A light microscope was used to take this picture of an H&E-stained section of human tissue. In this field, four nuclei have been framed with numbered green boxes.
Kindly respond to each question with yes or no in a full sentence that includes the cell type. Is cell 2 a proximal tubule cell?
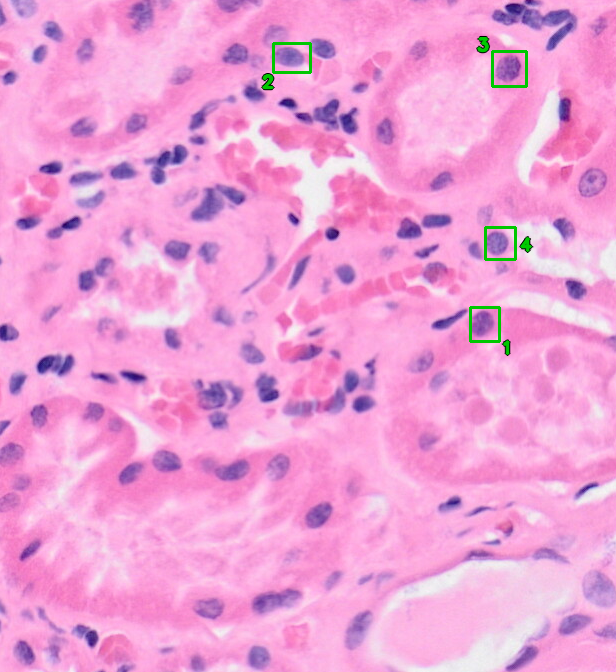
No, the cell labelled 2 is an endothelial cell and not a proximal tubule cell.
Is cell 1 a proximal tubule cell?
Yes, cell 1 is a proximal tubule cell in this tissue section.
